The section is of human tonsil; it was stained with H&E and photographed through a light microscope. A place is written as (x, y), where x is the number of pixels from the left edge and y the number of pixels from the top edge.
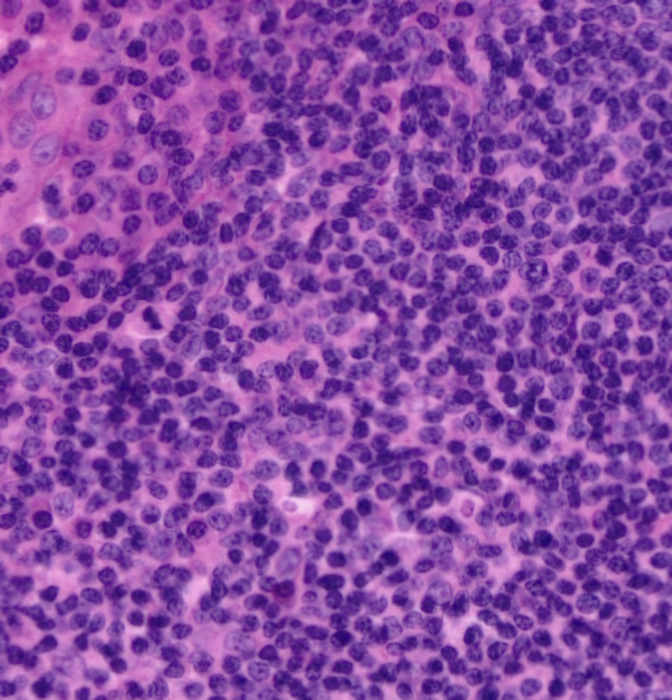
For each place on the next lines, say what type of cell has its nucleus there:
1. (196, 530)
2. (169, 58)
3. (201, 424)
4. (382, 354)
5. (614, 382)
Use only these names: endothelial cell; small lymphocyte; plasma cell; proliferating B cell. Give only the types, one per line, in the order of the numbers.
plasma cell
plasma cell
small lymphocyte
small lymphocyte
small lymphocyte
